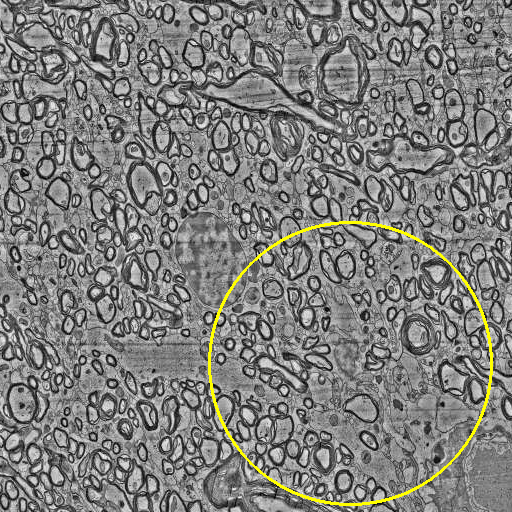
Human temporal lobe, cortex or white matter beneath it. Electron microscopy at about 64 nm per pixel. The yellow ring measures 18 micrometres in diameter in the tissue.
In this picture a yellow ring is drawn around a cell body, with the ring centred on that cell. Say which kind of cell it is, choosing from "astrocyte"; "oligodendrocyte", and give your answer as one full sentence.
Here it is an oligodendrocyte that sits at the centre of the drawn yellow ring.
